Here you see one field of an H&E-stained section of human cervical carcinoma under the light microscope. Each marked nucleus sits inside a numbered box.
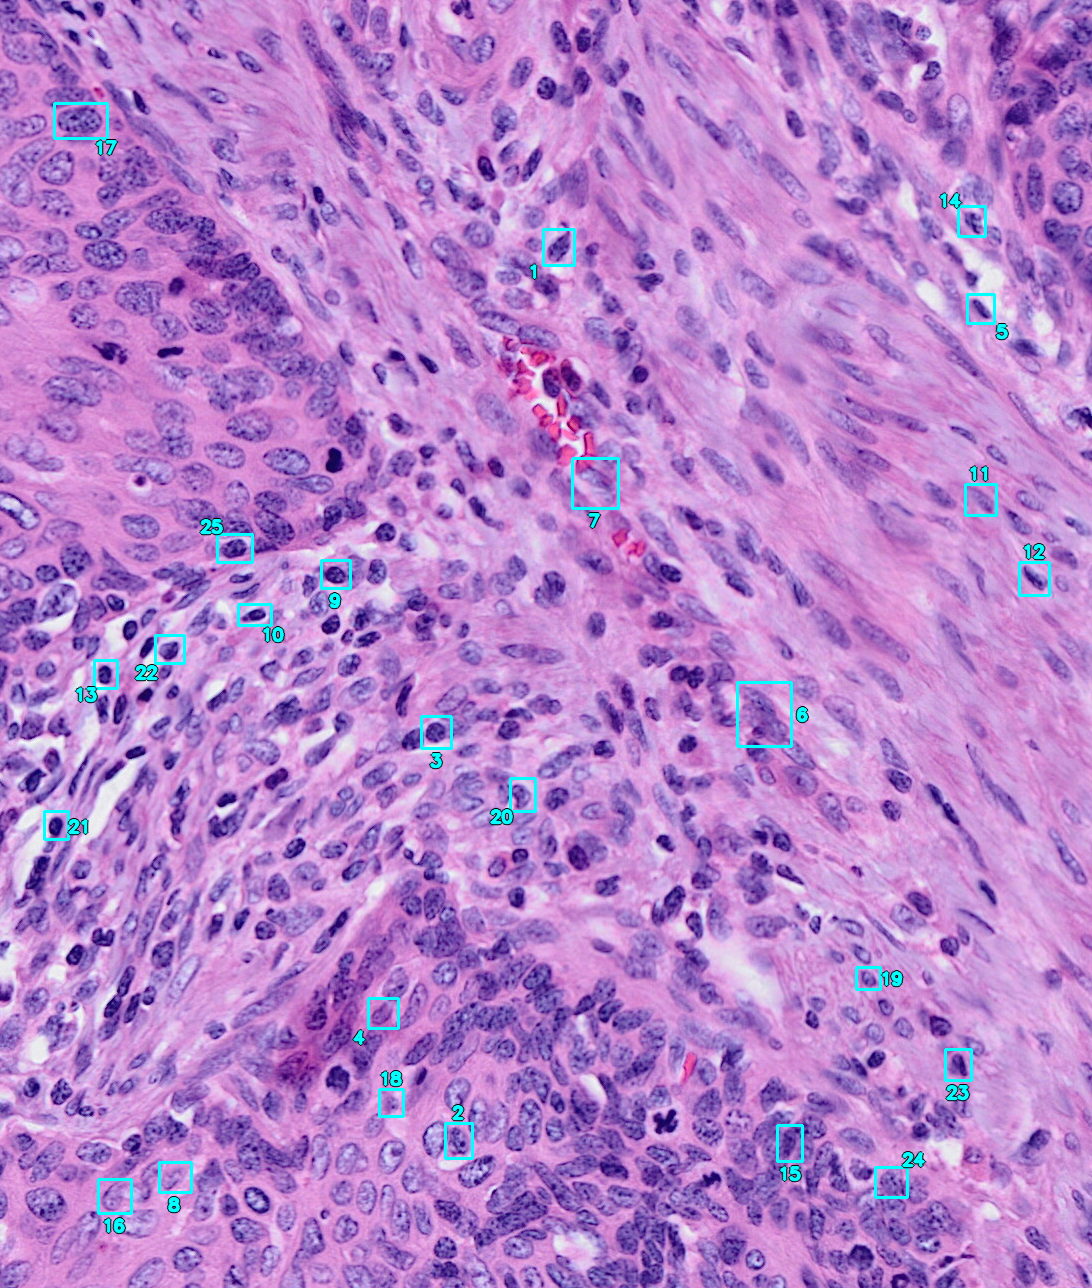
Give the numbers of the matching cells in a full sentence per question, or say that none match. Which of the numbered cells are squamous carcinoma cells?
Marked by the numbers 2, 4, 8, 15, 16, 17, 18 and 24 are cells that are squamous carcinoma cells.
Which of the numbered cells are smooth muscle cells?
The cells numbered 11 and 19 are, by type, smooth muscle cells.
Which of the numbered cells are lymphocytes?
The cells that bear the numbers 1, 3, 5, 9, 10, 12, 13, 14, 20, 21, 22, 23 and 25 are lymphocytes.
